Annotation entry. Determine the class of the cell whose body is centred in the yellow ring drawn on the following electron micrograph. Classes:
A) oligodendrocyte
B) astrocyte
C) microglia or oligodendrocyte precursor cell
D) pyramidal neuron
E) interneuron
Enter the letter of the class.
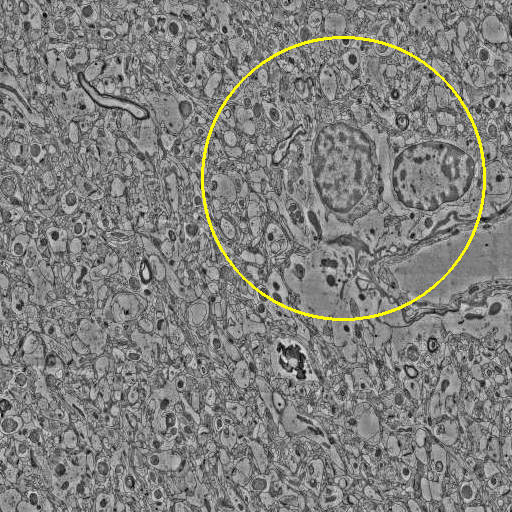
A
